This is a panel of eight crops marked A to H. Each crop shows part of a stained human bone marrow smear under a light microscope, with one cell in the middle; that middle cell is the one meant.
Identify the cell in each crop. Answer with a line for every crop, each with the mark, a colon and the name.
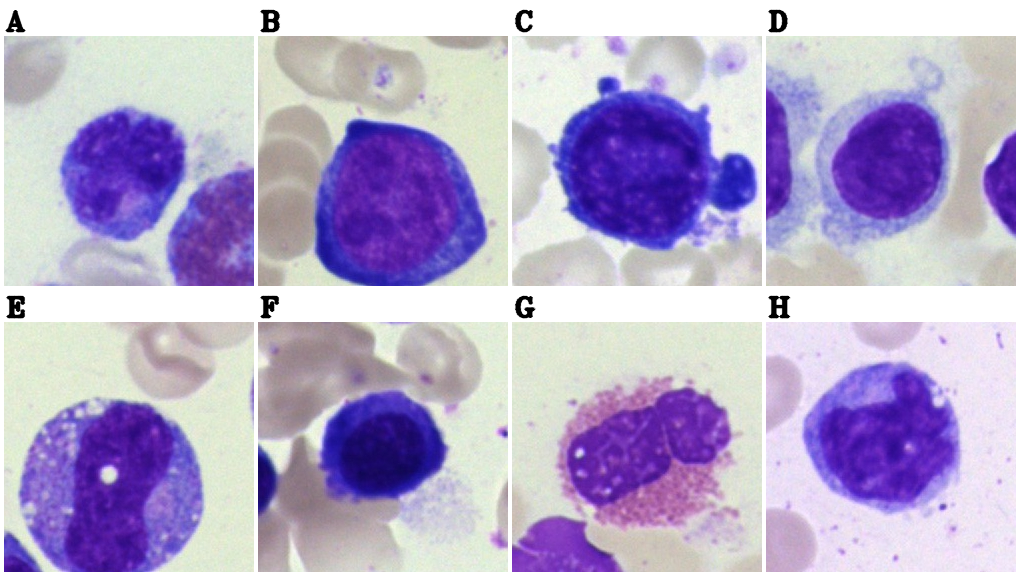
A: monocyte
B: proerythroblast
C: proerythroblast
D: hairy cell
E: monocyte
F: plasma cell
G: eosinophil
H: monocyte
